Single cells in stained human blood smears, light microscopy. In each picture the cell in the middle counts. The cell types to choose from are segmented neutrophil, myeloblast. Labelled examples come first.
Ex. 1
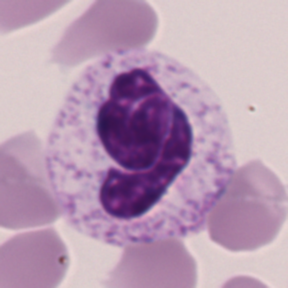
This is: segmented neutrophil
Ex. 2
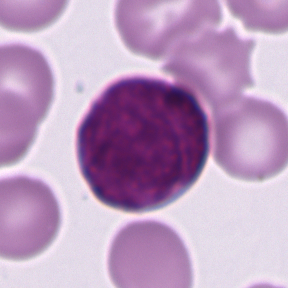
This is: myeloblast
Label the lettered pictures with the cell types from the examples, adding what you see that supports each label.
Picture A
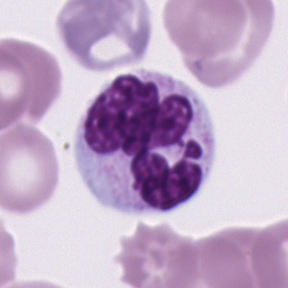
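segmented neutrophil. Reason: The nucleus is divided into several separate lobes.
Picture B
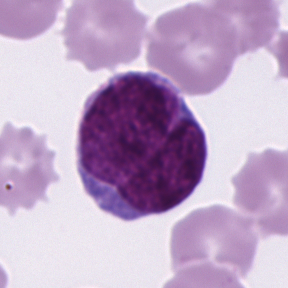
myeloblast. Reason: The cytoplasm forms a thin rim that is widest at the lower left.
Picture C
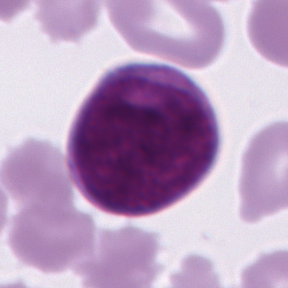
myeloblast. Reason: The cytoplasm is scant and shows only as a thin dark blue rim at the edge.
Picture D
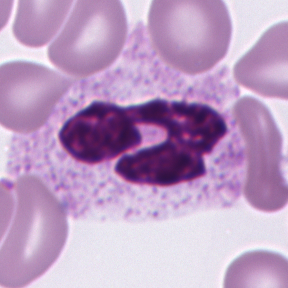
segmented neutrophil. Reason: The cytoplasm is abundant and pale pinkish-lilac.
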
